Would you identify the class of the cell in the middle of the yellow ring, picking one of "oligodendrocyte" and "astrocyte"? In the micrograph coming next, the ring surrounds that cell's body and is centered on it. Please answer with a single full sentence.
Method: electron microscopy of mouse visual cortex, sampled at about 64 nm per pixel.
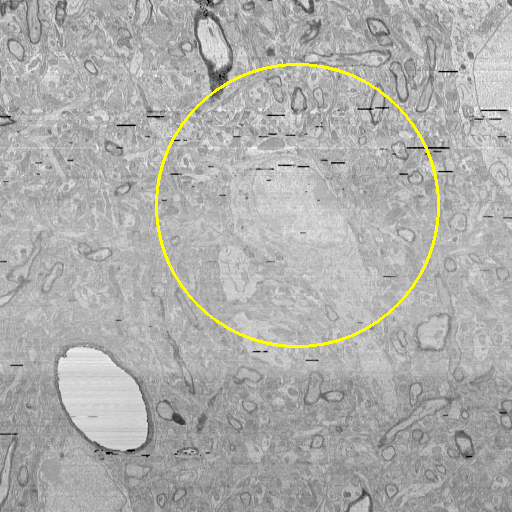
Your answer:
In the micrograph, it is an oligodendrocyte whose body lies at the ring's center.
